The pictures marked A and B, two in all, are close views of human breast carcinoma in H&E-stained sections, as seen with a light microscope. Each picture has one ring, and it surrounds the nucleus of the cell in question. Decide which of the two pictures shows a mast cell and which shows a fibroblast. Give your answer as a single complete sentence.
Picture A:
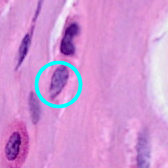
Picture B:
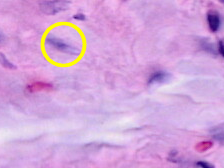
Picture A shows a mast cell and picture B shows a fibroblast.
